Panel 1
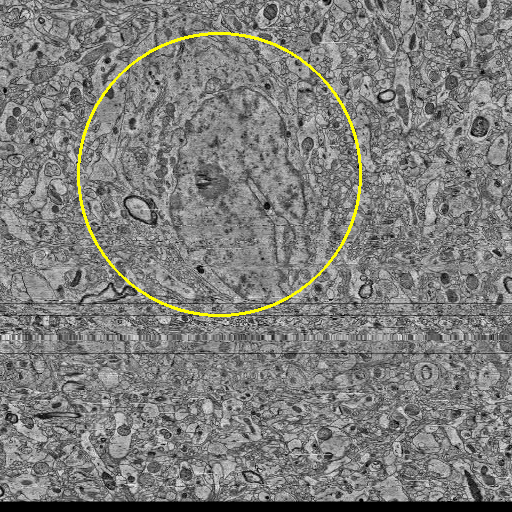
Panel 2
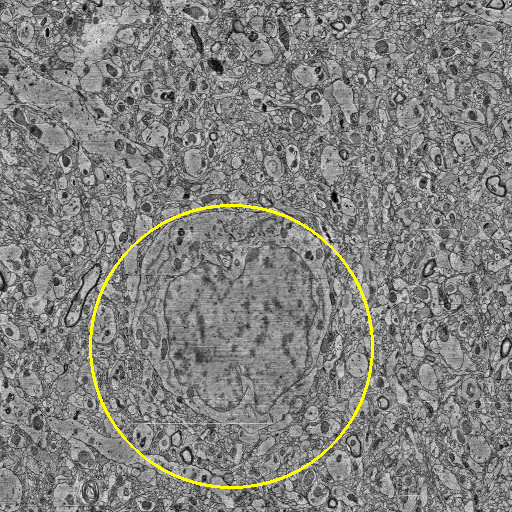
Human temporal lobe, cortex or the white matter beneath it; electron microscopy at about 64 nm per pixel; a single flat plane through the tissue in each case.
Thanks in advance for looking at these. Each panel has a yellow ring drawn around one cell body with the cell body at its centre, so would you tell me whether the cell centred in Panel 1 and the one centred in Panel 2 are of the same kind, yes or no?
yes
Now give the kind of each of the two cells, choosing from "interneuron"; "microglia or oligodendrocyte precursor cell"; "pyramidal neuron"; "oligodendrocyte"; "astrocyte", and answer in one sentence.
Both the first and the second picture show an interneuron in the ring.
